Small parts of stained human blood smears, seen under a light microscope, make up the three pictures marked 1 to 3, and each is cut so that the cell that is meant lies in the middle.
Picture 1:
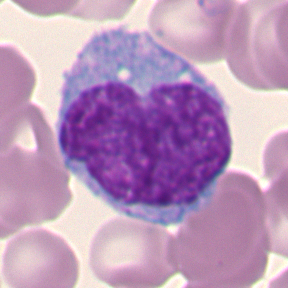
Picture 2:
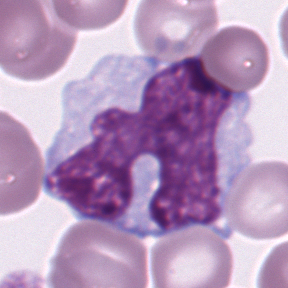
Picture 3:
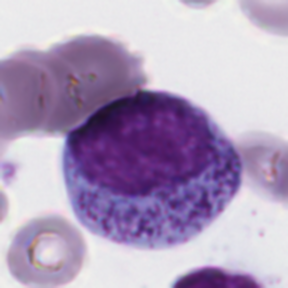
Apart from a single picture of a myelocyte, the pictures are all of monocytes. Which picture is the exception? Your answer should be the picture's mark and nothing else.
3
